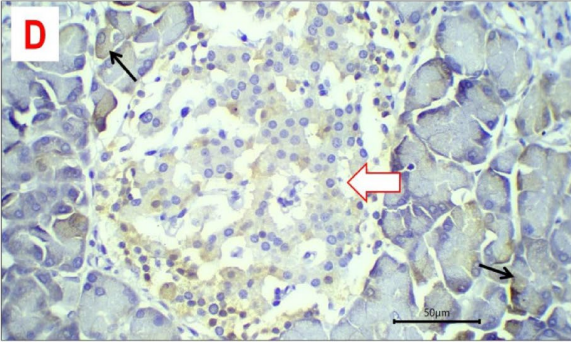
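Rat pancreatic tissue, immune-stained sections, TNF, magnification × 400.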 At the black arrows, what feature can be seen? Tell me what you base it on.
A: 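Arrowed cells are pyramidal cells in clusters at the panel edges. Brown staining lies in their cytoplasm.
Answer: exocrine acini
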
